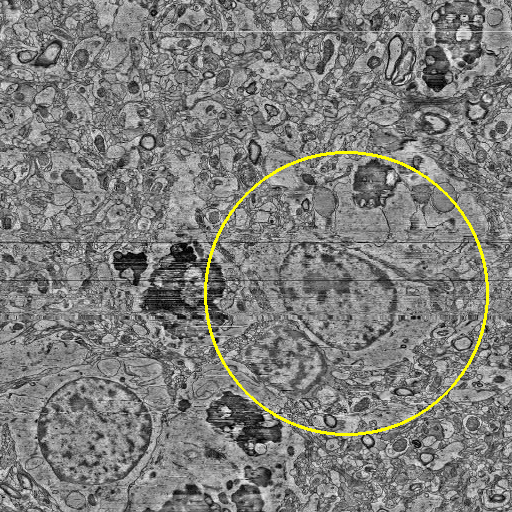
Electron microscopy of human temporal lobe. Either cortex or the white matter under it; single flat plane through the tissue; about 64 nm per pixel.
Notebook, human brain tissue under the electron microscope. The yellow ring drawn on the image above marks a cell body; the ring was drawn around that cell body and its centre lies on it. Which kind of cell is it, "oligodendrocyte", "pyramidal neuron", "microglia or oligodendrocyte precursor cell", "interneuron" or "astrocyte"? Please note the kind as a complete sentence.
The marked cell body is that of an astrocyte.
